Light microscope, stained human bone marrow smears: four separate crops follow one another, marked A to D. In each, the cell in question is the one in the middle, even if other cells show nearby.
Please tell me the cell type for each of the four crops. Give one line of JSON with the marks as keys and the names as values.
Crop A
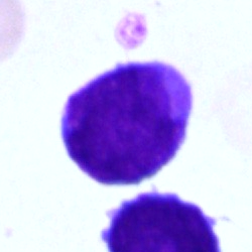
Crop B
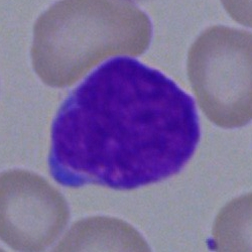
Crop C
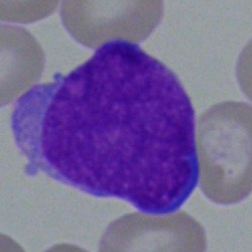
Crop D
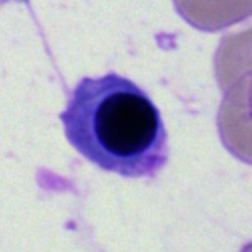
{"A": "blast", "B": "blast", "C": "blast", "D": "erythroblast"}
